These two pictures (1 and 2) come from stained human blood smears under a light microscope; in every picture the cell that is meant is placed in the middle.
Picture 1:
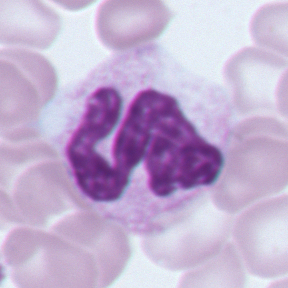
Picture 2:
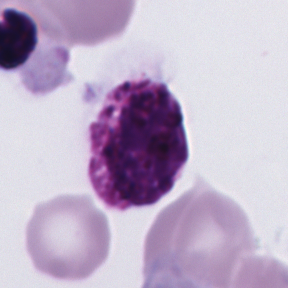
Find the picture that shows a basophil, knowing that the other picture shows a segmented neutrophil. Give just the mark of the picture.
2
